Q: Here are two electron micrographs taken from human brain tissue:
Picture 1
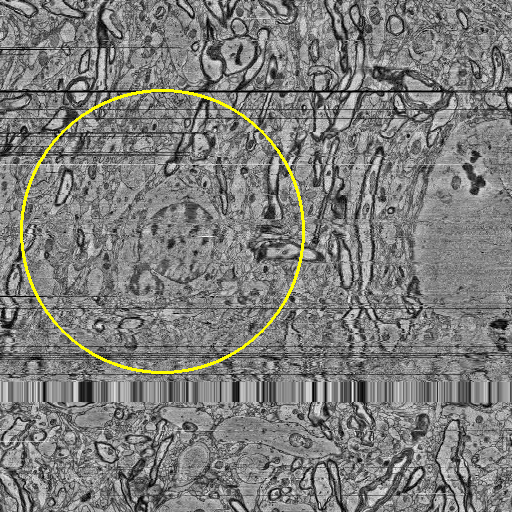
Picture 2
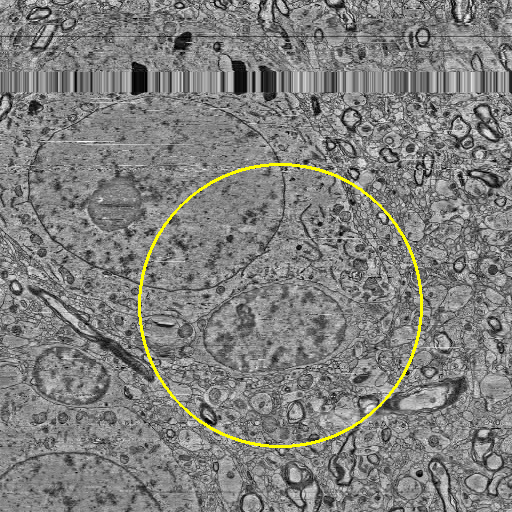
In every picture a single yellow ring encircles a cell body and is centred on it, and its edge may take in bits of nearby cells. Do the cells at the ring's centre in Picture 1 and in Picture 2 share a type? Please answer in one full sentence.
No, the cells at the ring's centre in Picture 1 and Picture 2 are of two types.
